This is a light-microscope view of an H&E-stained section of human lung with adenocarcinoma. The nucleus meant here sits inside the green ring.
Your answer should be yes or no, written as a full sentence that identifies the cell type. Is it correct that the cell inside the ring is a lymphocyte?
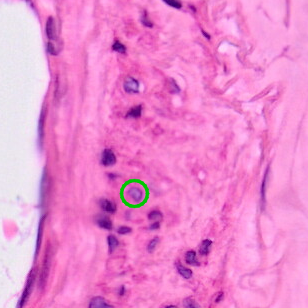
No, the cell inside the ring is not a lymphocyte but a smooth muscle cell or pericyte.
